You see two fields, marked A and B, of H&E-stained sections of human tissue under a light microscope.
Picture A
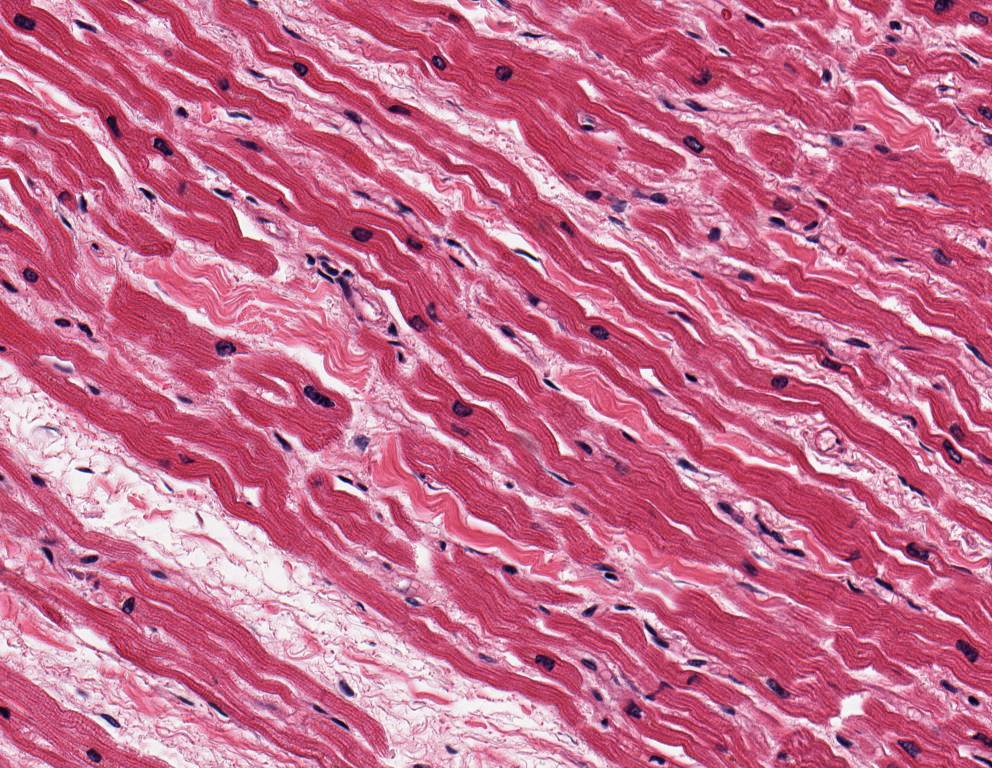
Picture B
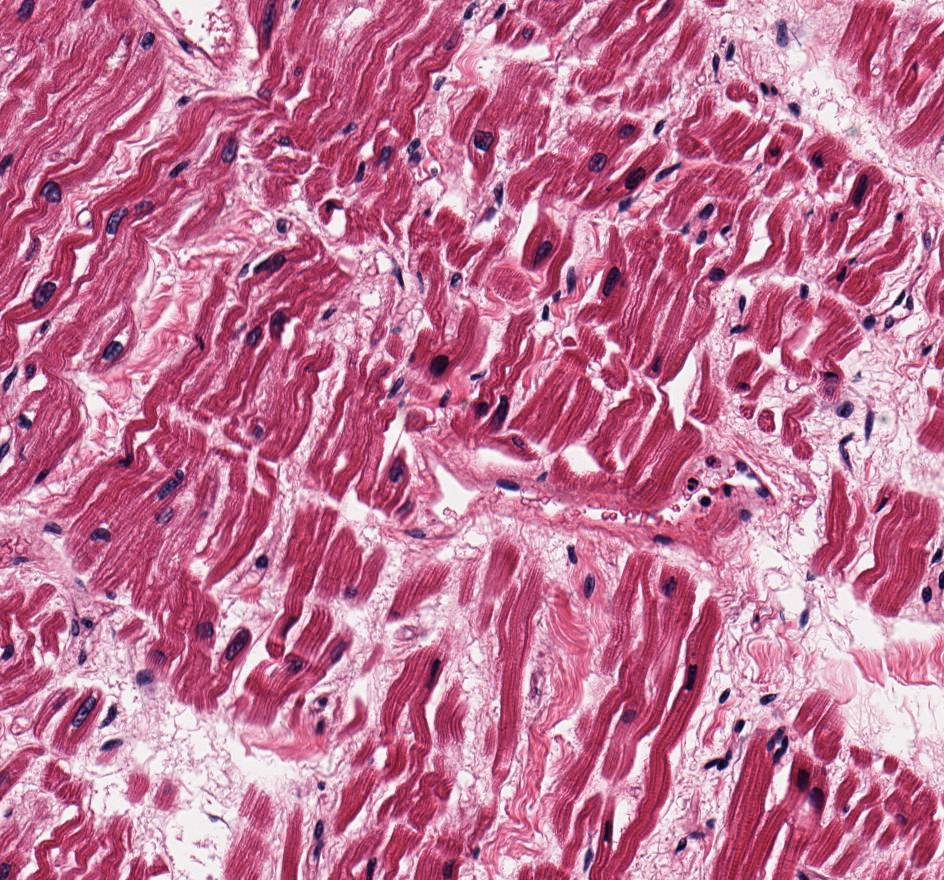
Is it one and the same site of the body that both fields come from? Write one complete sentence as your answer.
Yes, the two fields both come from the atrial appendage of the heart.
